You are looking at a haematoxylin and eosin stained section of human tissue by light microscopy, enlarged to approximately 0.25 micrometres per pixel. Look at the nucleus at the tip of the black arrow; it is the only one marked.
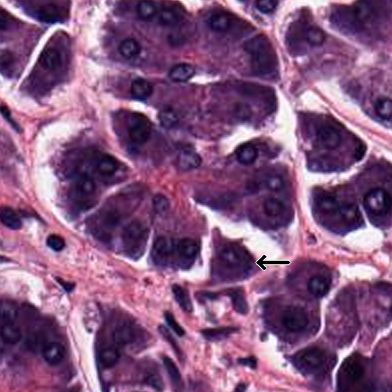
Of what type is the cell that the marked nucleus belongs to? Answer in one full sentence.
The cell whose nucleus is marked is a pancreatic acinar cell.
